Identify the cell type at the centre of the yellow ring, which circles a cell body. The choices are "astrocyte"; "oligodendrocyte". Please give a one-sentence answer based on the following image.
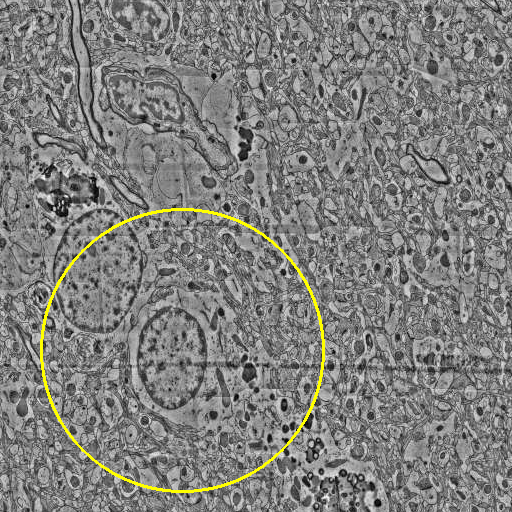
The cell marked by the ring is an astrocyte.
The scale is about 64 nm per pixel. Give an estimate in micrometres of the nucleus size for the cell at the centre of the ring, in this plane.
Approximately 6 by 4 micrometers in this plane.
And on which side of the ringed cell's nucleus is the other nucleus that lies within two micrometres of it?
The other nucleus is located to the upper left of it.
